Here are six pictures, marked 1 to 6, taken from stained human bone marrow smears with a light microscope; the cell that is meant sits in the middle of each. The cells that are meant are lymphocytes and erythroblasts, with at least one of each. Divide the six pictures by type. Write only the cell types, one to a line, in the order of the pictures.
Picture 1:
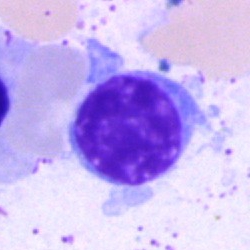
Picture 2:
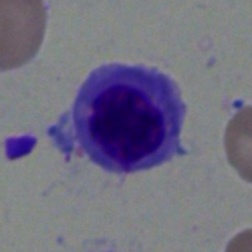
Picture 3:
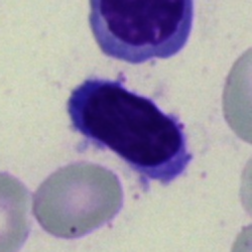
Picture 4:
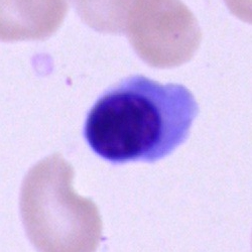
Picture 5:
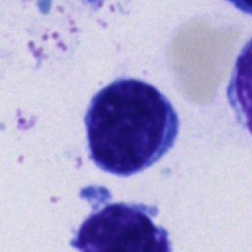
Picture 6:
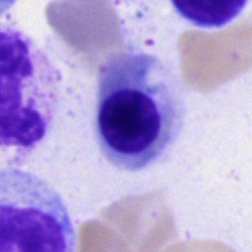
lymphocyte
erythroblast
lymphocyte
erythroblast
lymphocyte
erythroblast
